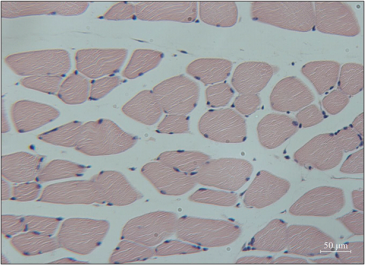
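Cross-section of skeletal muscle showing muscle fibers cut transversely as pink, polygonal to rounded profiles. The fibers are fairly large and of varied size, with evenly stained, finely mottled pink cytoplasm. Small dark blue nuclei lie at the periphery of the fibers, against their borders. Fibers are grouped into bundles separated by wide pale bluish spaces. No centrally placed nuclei or inflammatory infiltrate are evident.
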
